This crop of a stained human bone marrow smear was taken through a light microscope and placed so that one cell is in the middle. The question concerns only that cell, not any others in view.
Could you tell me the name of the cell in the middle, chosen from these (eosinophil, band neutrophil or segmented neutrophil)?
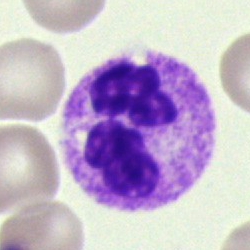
segmented neutrophil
